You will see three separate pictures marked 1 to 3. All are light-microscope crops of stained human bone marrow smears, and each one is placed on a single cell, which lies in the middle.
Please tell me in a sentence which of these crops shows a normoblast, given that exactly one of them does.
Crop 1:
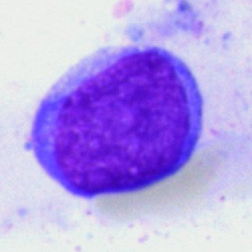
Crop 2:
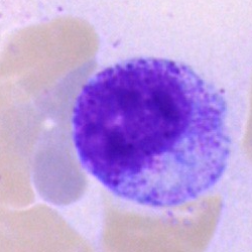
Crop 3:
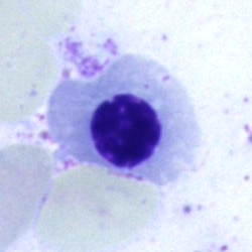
Here the crop that shows a normoblast is crop 3.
